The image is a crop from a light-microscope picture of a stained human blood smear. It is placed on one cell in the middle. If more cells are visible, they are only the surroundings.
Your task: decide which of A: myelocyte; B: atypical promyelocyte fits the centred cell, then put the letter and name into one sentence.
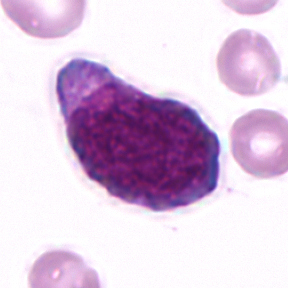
Identification: the cell in the middle is an atypical promyelocyte, matching option B.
